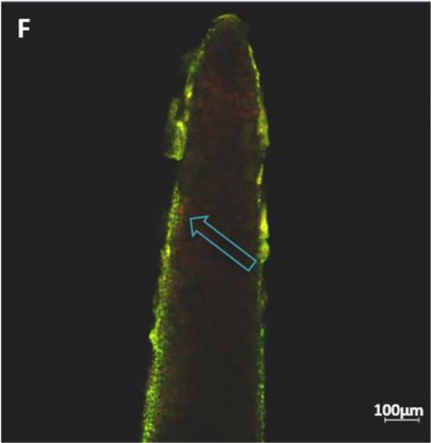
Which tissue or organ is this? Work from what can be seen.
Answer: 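A tapering, elongated organ ending in a rounded point. Brighter fluorescence along the outer edge than in the interior.
Hence: Root tip.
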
